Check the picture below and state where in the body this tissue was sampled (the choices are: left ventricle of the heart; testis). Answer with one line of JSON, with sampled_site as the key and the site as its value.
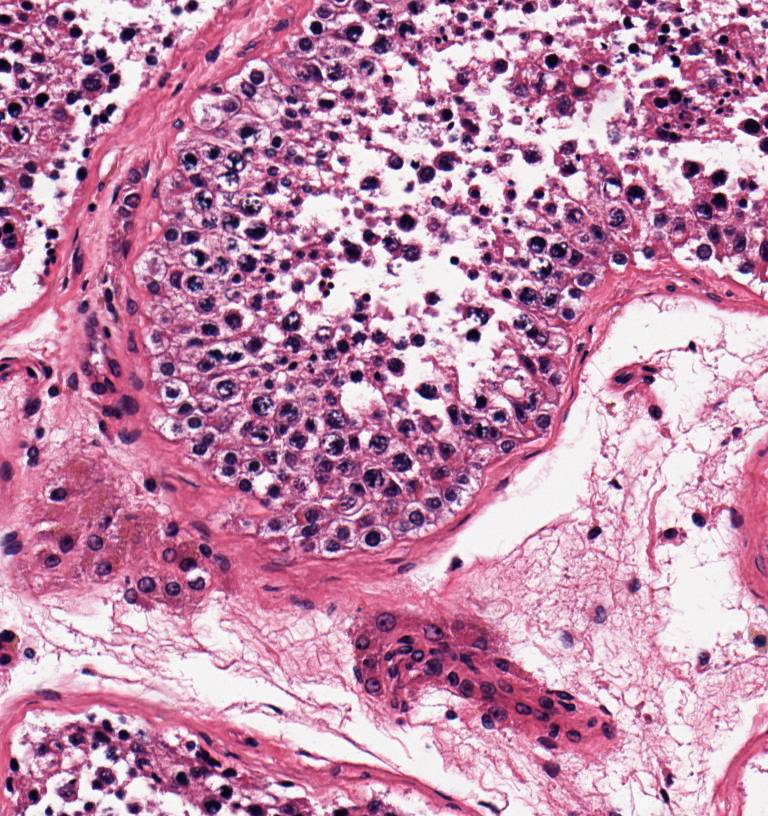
{"sampled_site": "testis"}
